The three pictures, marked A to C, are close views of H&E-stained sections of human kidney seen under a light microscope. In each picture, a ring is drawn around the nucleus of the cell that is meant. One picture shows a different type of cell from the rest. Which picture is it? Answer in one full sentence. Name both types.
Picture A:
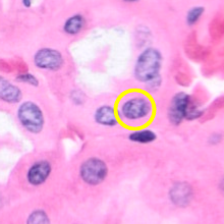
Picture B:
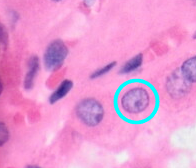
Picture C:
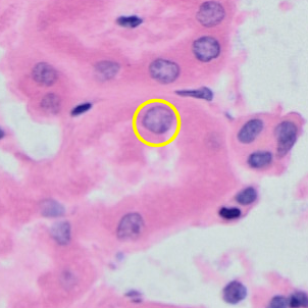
All pictures except A show proximal tubule cells; picture A shows a collecting duct cell.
